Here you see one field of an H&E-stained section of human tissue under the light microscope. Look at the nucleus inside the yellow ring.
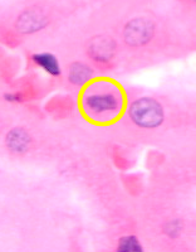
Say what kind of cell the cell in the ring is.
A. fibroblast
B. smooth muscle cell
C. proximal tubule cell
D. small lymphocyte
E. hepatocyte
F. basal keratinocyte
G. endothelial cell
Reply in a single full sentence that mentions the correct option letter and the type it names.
Option C correctly labels the cell in the ring as a proximal tubule cell.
